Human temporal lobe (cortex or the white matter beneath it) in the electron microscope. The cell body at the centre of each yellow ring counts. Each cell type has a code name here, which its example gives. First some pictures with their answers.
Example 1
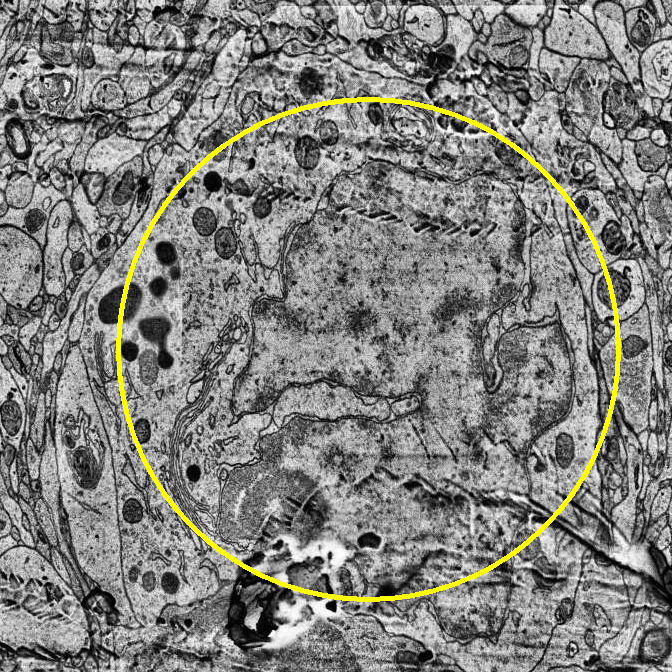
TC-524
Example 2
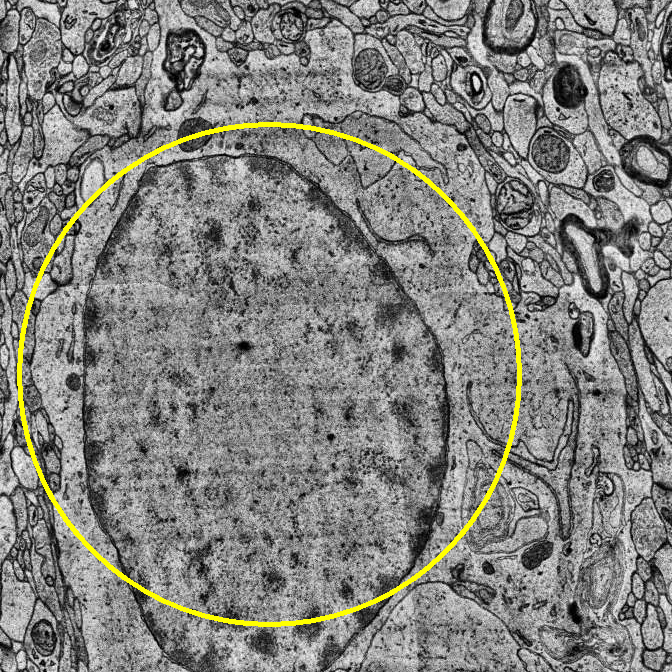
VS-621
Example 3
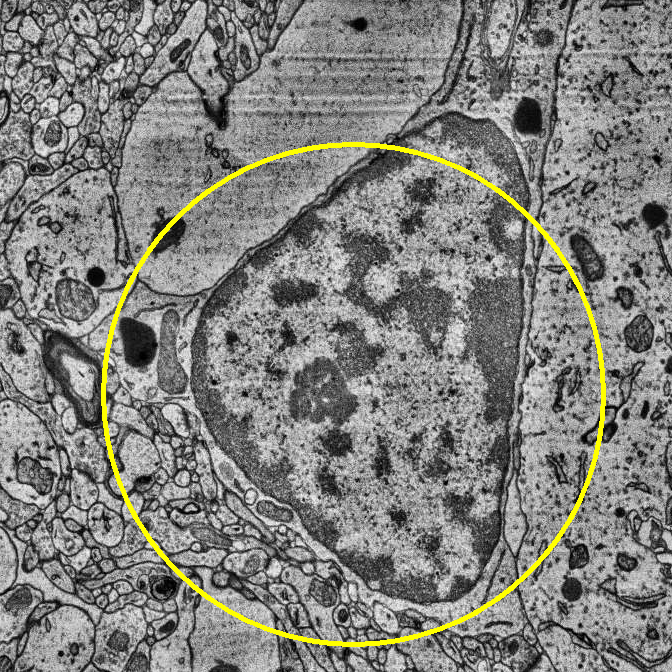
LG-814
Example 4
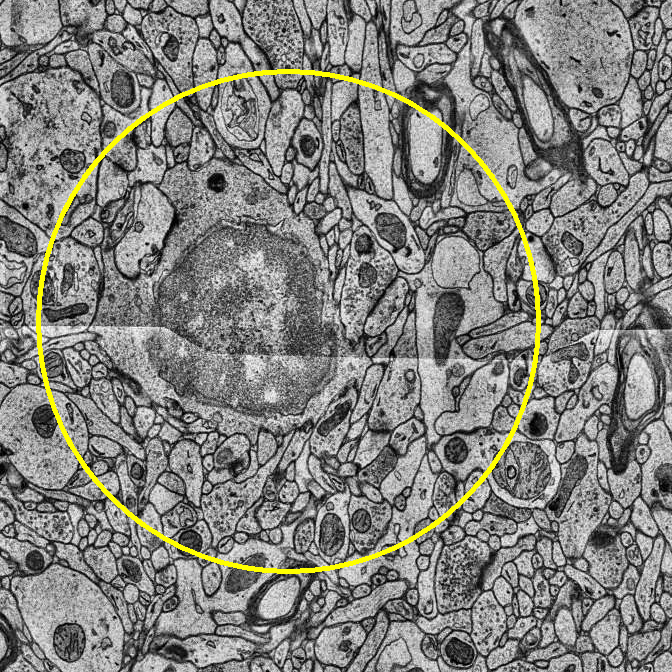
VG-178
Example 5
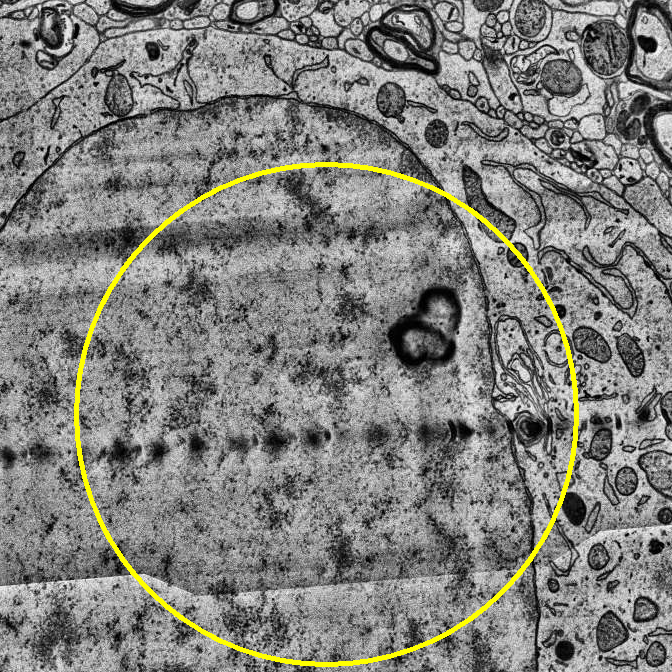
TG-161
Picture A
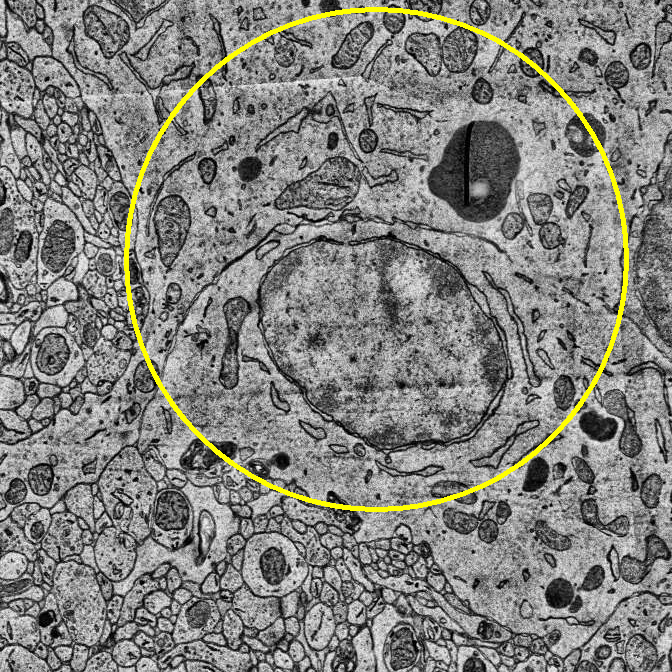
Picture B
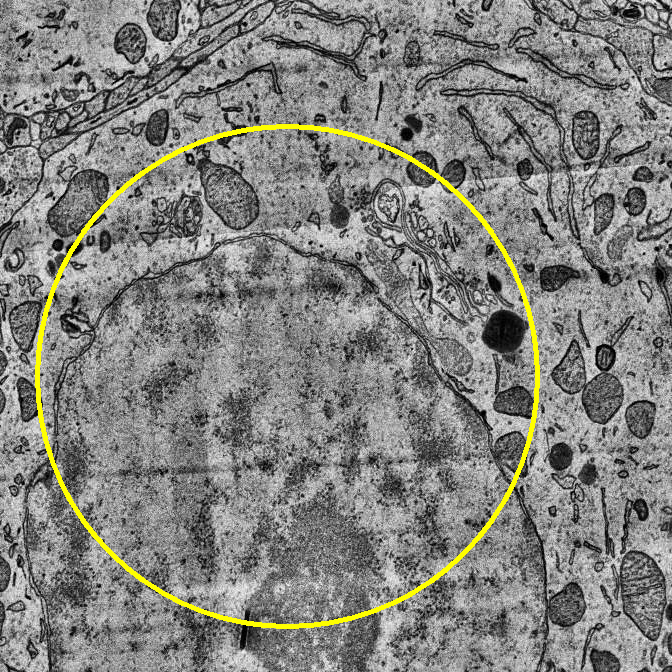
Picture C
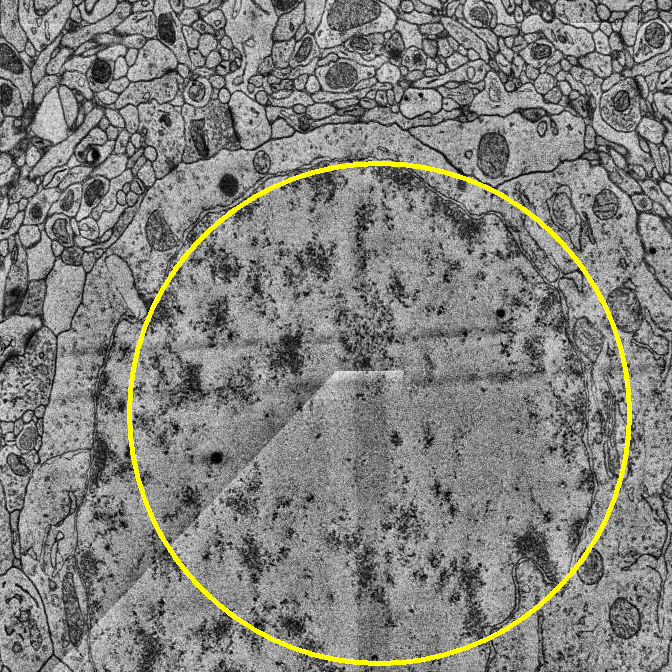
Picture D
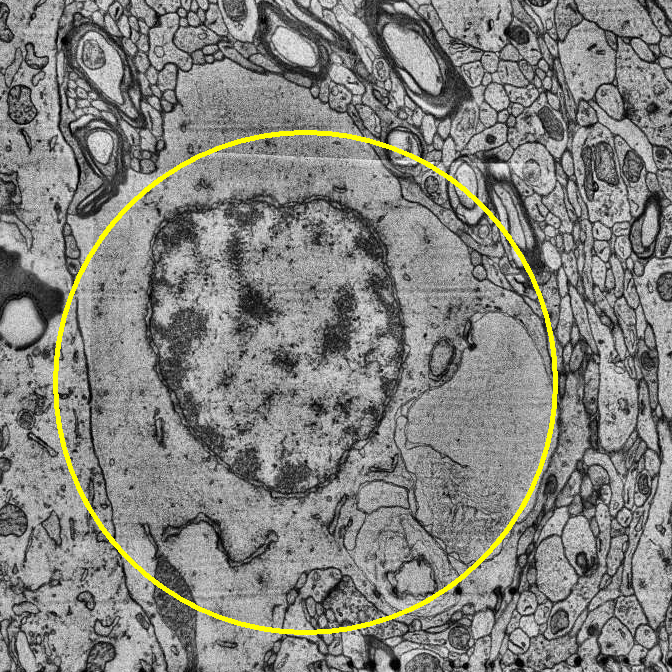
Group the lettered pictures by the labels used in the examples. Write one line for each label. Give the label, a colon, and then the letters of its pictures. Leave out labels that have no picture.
TC-524: B, C
VS-621: D
LG-814: A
